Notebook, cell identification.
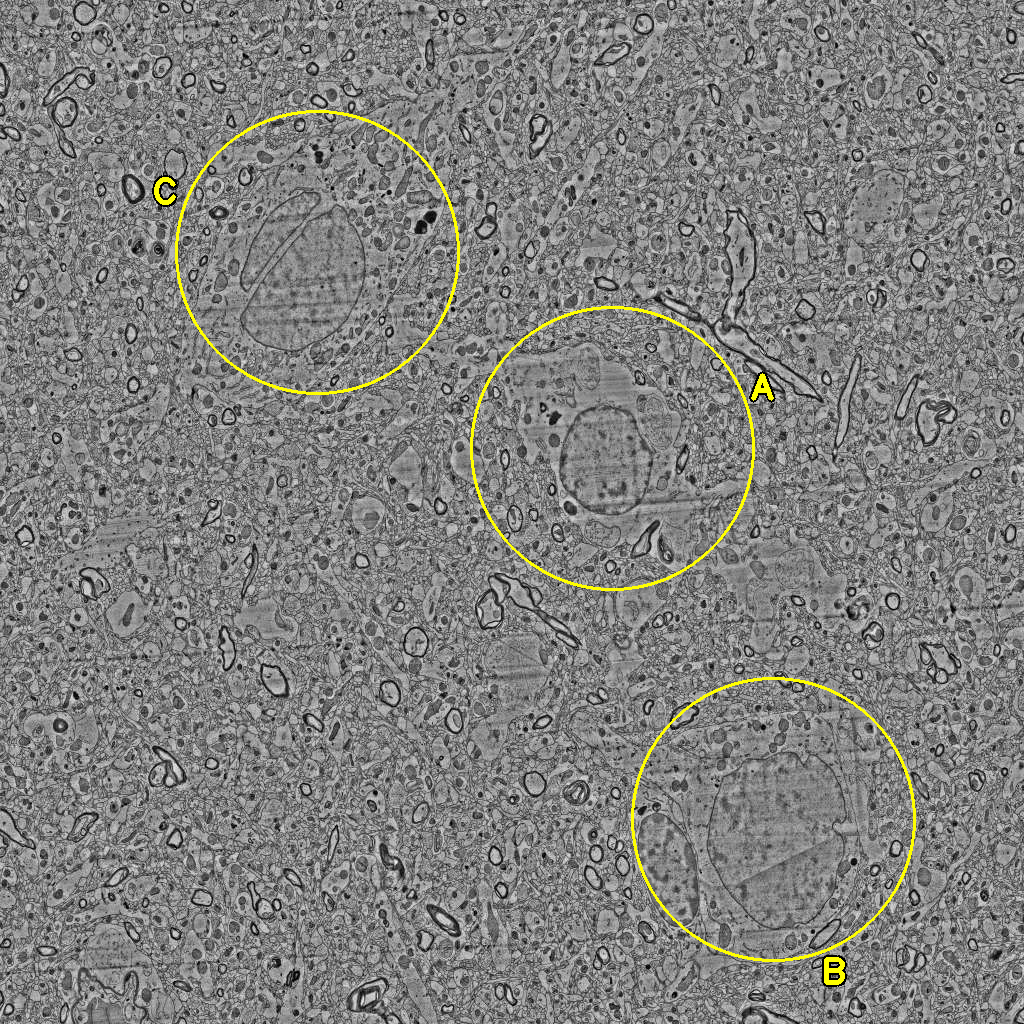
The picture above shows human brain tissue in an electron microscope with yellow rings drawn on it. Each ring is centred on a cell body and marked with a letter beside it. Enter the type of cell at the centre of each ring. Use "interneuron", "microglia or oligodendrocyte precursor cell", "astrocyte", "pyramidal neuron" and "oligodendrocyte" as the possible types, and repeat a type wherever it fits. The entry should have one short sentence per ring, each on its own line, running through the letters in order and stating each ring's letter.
The cell body in ring A belongs to an astrocyte.
The cell body in ring B belongs to a pyramidal neuron.
The cell body in ring C belongs to an interneuron.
